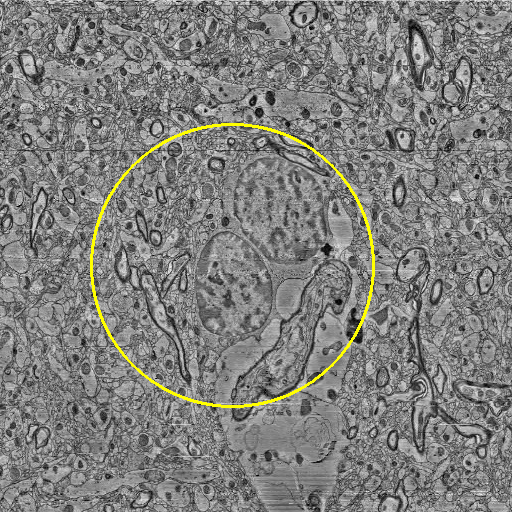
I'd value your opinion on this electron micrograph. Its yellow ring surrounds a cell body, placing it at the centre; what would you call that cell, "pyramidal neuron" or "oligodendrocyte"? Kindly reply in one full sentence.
It is an oligodendrocyte that sits centred within the yellow ring in this micrograph.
